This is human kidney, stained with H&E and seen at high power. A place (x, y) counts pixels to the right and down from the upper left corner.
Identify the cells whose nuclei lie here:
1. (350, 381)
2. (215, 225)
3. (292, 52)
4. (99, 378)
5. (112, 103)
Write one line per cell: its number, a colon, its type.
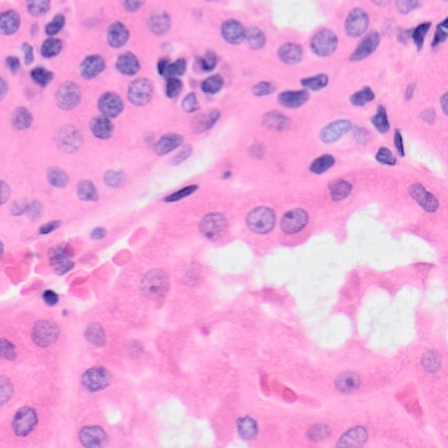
1: proximal tubule cell
2: proximal tubule cell
3: loop of Henle or distal tubule cell
4: proximal tubule cell
5: loop of Henle or distal tubule cell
